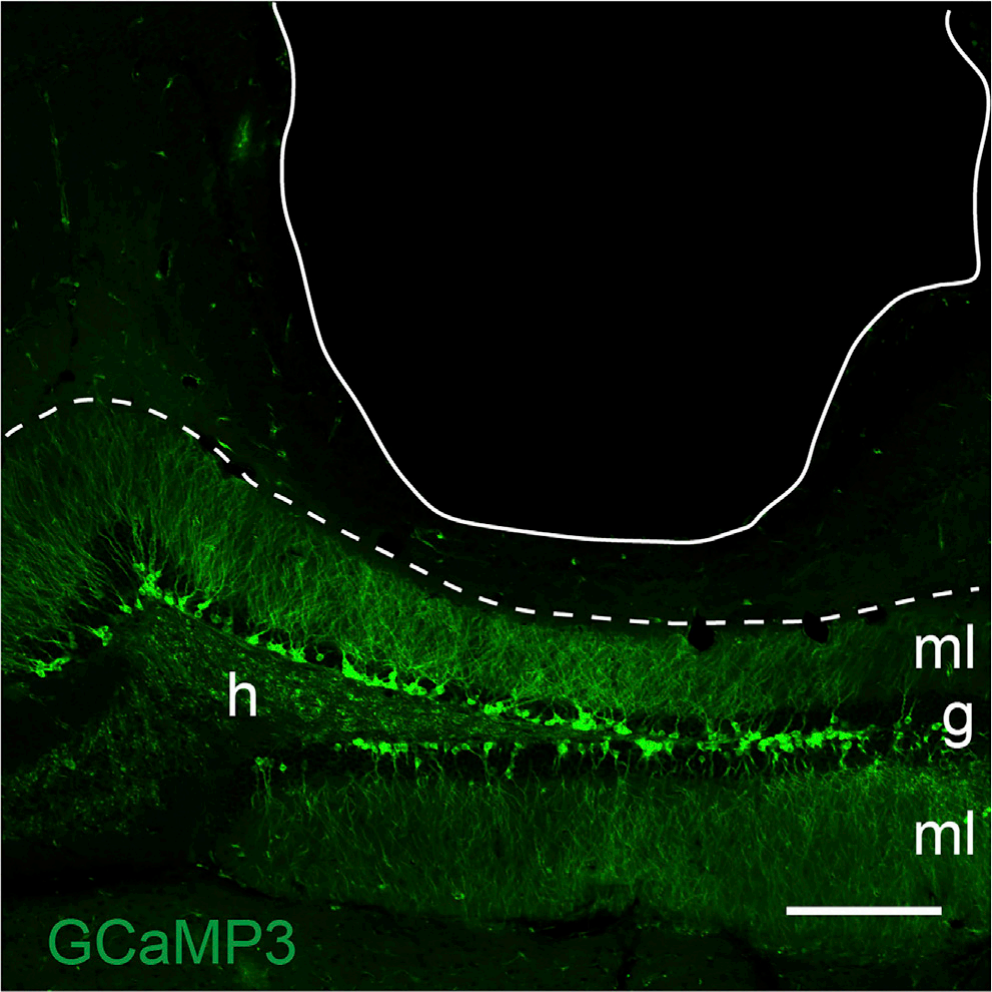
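This section of the dentate gyrus shows a curved band of brightly labelled cell bodies in the granule cell layer, lying between the hilus and the molecular layers. Fine green processes run from the cell bodies through the molecular layer in a dense, roughly parallel array.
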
